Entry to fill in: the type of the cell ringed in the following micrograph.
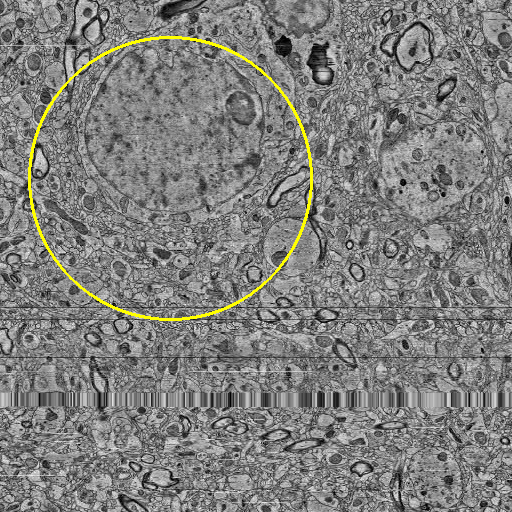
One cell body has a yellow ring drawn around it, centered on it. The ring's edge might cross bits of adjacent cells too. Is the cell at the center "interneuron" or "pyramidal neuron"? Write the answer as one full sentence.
This entry names an interneuron as the cell whose body lies at the ring's center.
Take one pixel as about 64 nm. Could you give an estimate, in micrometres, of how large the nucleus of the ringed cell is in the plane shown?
The nucleus is approximately 12 micrometers across in this plane.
